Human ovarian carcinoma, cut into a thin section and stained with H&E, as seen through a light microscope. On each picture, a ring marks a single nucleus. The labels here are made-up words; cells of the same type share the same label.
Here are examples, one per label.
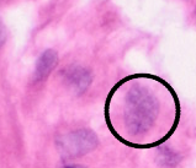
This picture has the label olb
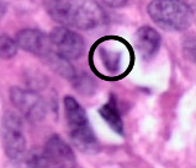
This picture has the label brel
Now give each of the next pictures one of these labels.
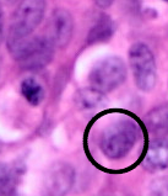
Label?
brel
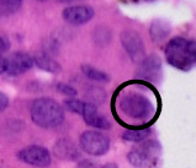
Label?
brel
